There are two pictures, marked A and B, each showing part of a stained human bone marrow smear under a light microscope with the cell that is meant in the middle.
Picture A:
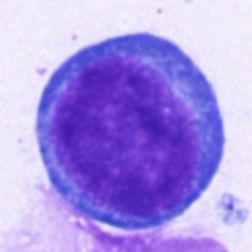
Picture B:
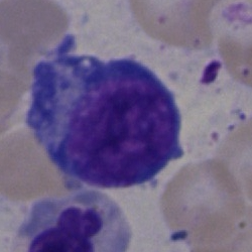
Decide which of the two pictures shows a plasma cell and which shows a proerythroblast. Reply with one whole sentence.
Picture A is of a proerythroblast, and picture B is of a plasma cell.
